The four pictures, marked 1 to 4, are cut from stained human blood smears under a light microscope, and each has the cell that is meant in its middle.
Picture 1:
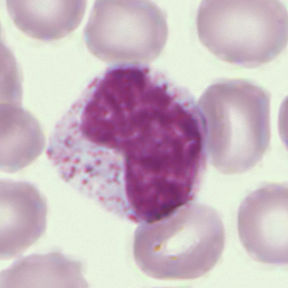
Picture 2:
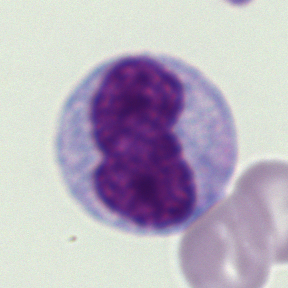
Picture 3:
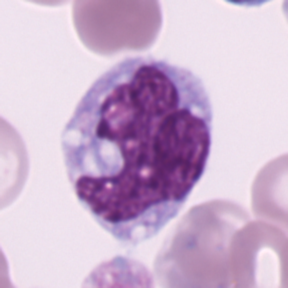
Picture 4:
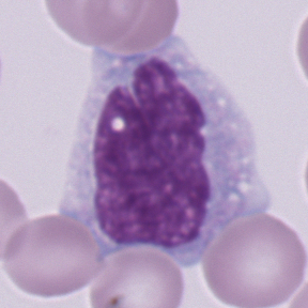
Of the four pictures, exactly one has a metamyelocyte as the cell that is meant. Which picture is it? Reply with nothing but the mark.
1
